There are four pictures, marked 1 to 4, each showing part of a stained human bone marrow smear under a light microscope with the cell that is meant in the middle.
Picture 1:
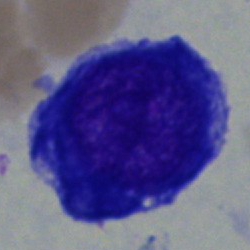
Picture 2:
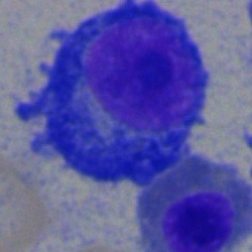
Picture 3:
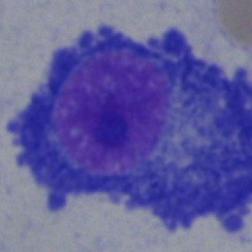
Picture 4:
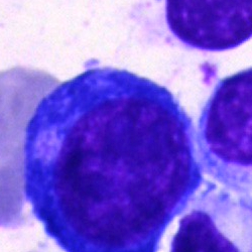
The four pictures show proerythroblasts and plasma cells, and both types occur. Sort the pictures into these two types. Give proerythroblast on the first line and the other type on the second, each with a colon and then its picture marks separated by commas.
proerythroblast: 1, 4
plasma cell: 2, 3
